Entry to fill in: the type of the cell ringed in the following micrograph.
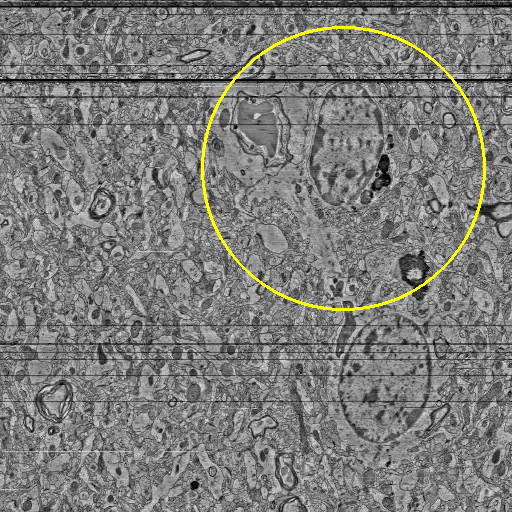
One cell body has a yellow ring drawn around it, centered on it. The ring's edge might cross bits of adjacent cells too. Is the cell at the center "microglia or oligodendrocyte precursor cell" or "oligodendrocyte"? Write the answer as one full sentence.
This entry names a microglial cell or oligodendrocyte precursor cell as the cell whose body lies at the ring's center.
